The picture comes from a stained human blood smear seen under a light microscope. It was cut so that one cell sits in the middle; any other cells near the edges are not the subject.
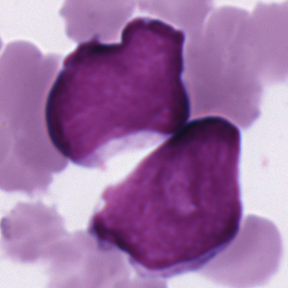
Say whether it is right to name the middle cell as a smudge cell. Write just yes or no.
no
